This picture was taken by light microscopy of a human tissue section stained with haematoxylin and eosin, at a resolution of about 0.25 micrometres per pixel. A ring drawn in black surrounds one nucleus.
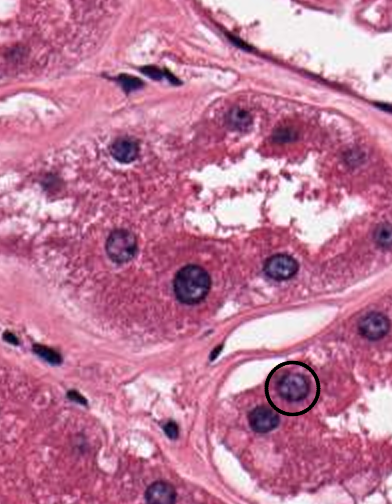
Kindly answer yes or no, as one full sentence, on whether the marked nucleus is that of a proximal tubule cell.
Yes, the marked nucleus is in a proximal tubule cell.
